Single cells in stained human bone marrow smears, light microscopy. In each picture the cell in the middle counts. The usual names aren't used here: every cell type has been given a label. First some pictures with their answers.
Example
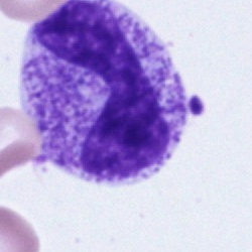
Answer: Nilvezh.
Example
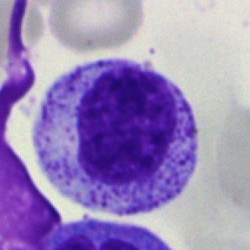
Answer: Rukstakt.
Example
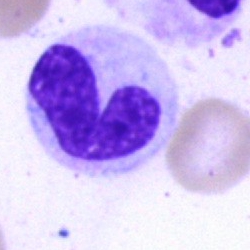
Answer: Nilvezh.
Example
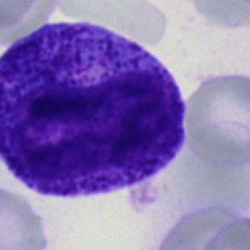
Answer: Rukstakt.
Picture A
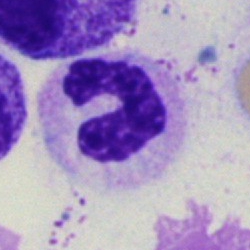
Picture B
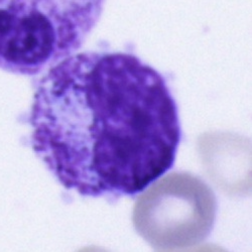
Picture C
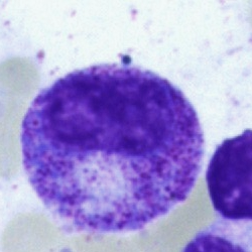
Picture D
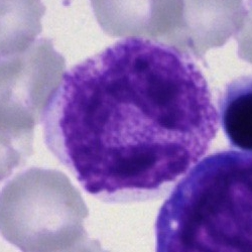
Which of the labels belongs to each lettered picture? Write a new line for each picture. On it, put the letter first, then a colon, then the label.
A: Nilvezh.
B: Rukstakt.
C: Rukstakt.
D: Nilvezh.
